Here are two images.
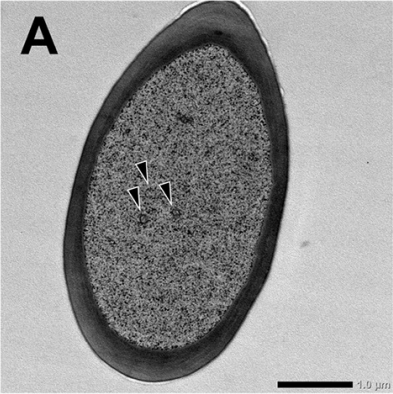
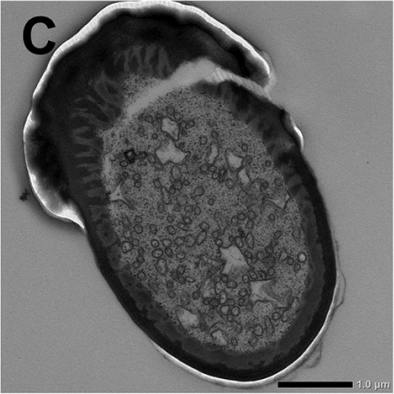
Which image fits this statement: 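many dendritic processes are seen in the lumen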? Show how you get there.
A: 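Second image: the lumen is crowded with many small round membrane profiles. First image: the lumen is mostly uniform granular material with only a few small round profiles.
Answer: the second image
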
